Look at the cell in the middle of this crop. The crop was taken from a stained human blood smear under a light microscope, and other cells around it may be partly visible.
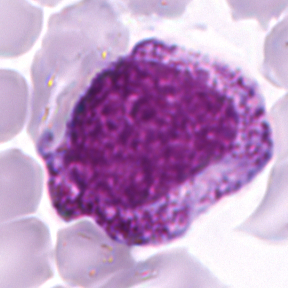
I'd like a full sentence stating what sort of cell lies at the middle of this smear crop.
In short, the cell at the center is a promyelocyte.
